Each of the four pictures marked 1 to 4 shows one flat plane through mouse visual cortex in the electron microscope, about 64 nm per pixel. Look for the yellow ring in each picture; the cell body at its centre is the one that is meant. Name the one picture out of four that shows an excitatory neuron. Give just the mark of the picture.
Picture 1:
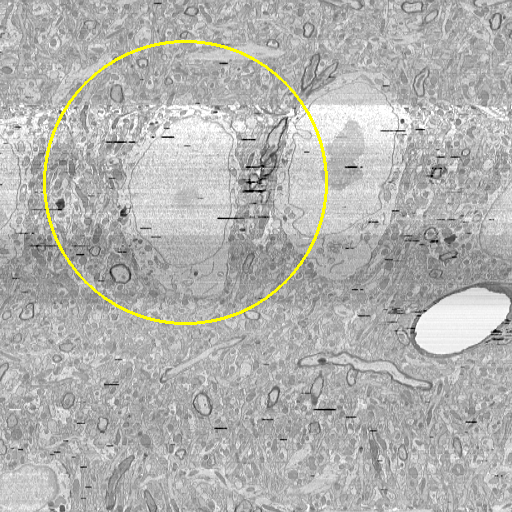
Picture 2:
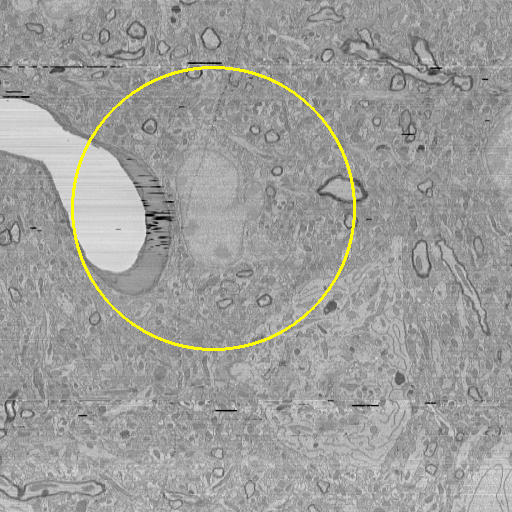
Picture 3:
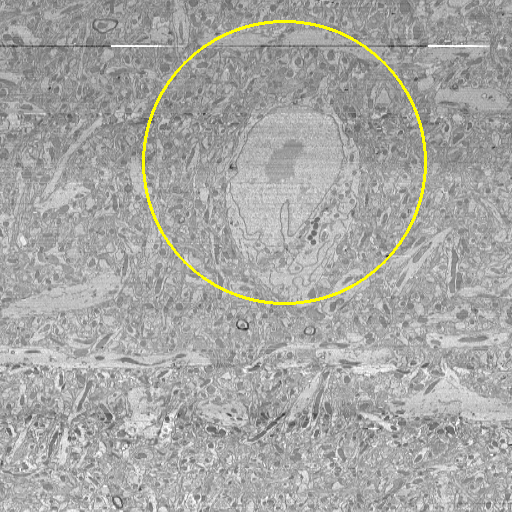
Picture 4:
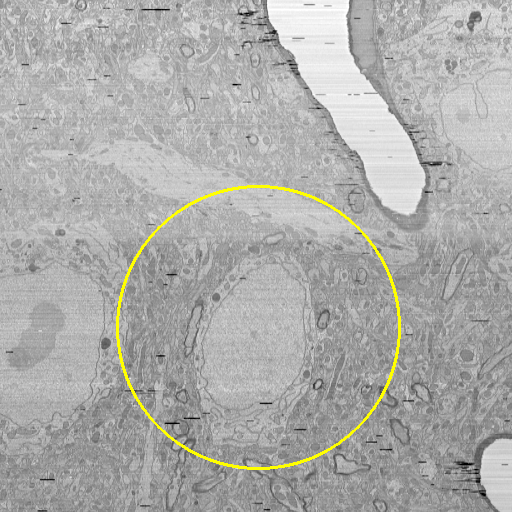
1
